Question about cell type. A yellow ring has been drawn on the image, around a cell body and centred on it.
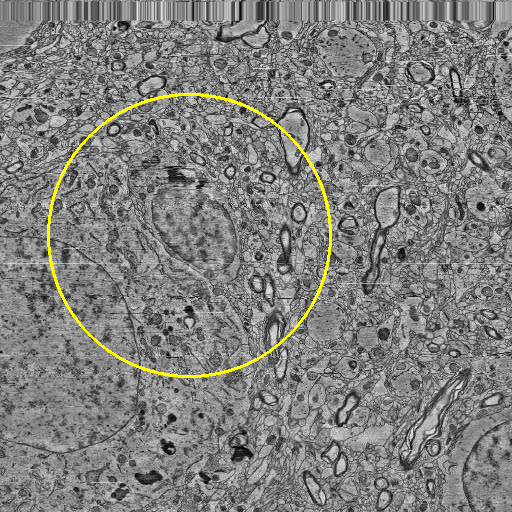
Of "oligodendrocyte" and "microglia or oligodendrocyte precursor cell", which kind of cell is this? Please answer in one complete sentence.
At the centre of the ring lies an oligodendrocyte.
